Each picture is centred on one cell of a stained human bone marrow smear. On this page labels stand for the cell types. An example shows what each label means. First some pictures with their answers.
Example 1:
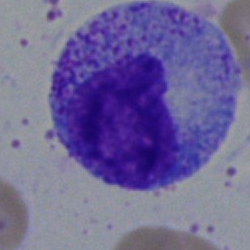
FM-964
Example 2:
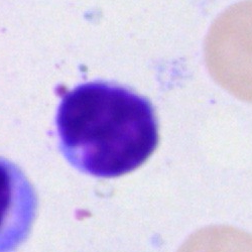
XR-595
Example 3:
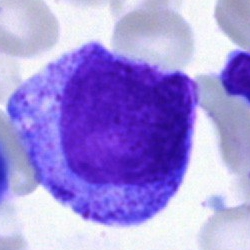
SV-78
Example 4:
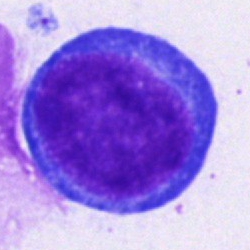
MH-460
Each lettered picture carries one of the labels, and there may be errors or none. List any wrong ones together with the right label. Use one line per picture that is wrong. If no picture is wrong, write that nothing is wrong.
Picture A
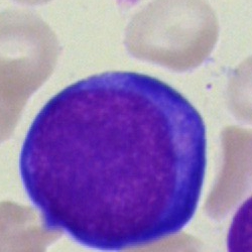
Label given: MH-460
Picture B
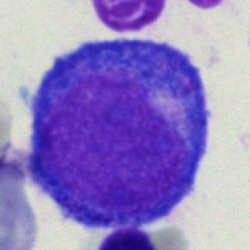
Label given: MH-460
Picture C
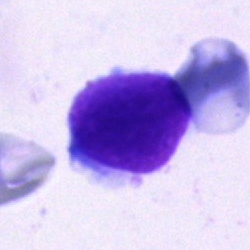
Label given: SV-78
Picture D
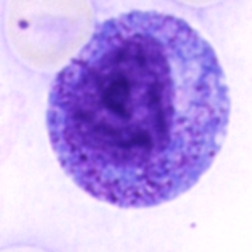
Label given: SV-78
C: not SV-78 but XR-595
